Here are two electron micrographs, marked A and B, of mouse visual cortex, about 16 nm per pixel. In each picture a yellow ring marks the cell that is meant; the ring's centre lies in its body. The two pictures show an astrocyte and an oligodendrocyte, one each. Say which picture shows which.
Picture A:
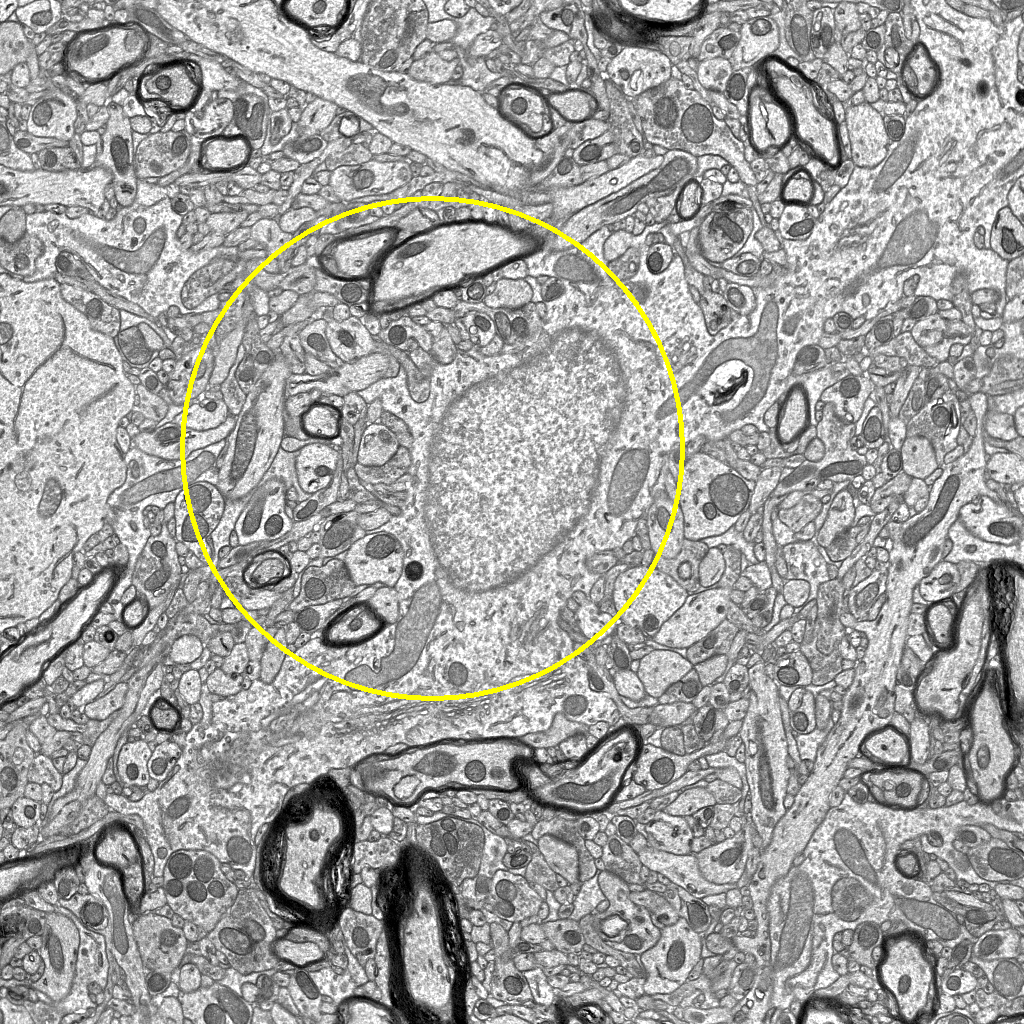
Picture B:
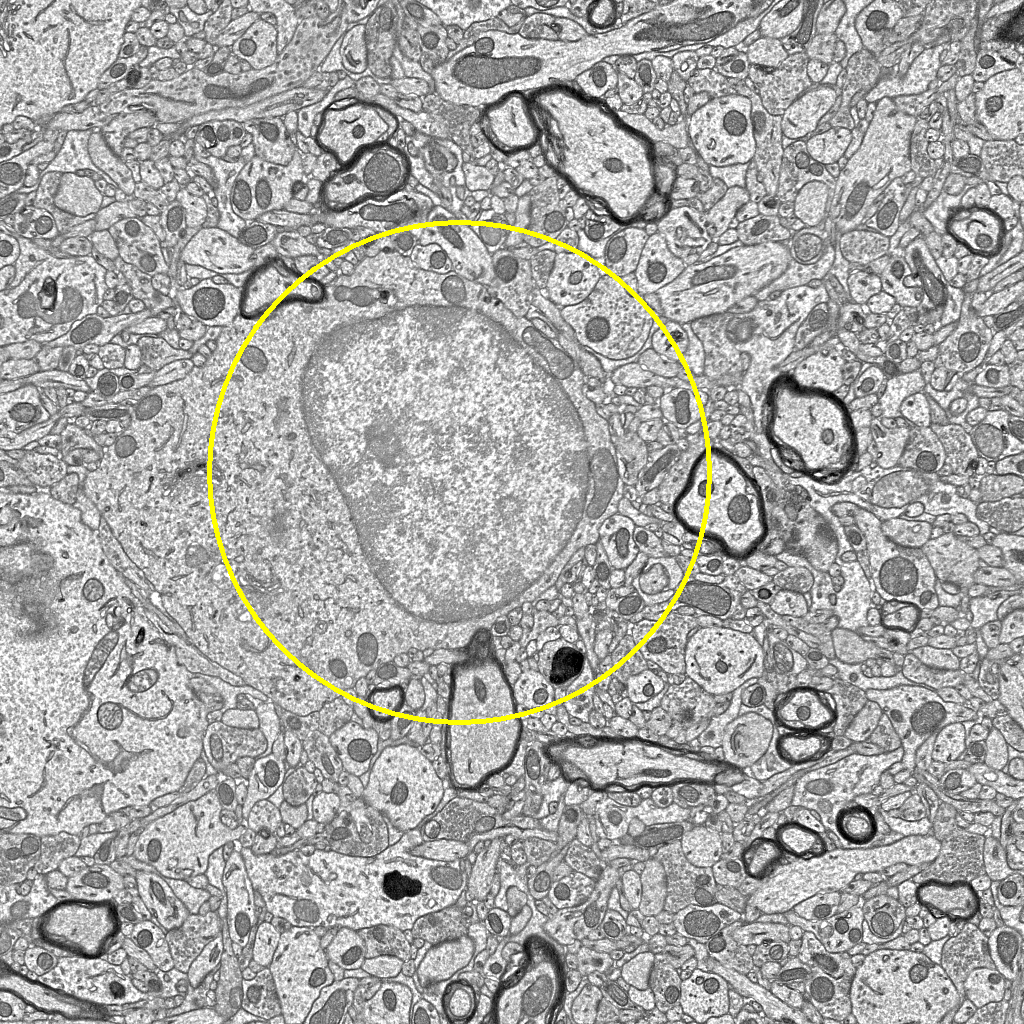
The cell in picture A is an astrocyte, and the one in picture B is an oligodendrocyte.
